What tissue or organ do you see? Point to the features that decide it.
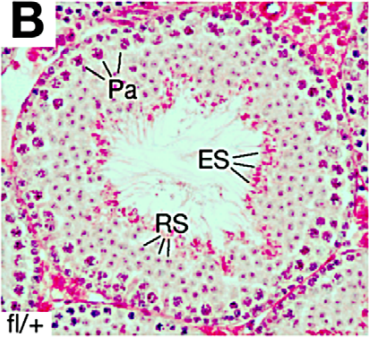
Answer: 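Testes. A round tubule cross-section is filled with several concentric layers of germ cells around a central lumen. Clusters of elongated, dark, condensed heads lie next to the lumen.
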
